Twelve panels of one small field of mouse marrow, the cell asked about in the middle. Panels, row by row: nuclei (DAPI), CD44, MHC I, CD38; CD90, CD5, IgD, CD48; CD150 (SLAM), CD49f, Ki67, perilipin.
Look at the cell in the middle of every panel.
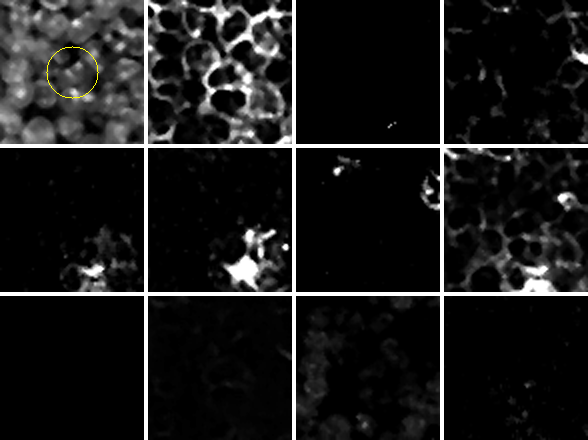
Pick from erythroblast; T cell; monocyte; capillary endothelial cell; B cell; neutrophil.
neutrophil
